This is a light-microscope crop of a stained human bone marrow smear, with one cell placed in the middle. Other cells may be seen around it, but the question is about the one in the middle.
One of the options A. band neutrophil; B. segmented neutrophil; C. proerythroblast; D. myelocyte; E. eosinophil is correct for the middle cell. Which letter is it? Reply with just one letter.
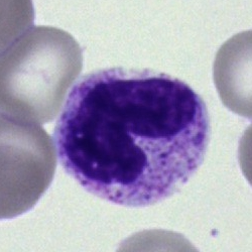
A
